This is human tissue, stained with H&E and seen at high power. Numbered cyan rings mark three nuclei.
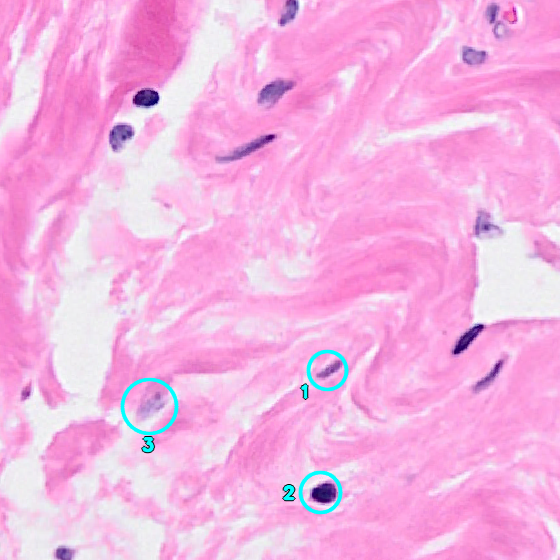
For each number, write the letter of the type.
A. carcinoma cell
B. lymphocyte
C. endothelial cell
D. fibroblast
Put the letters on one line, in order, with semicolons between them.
D; B; D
